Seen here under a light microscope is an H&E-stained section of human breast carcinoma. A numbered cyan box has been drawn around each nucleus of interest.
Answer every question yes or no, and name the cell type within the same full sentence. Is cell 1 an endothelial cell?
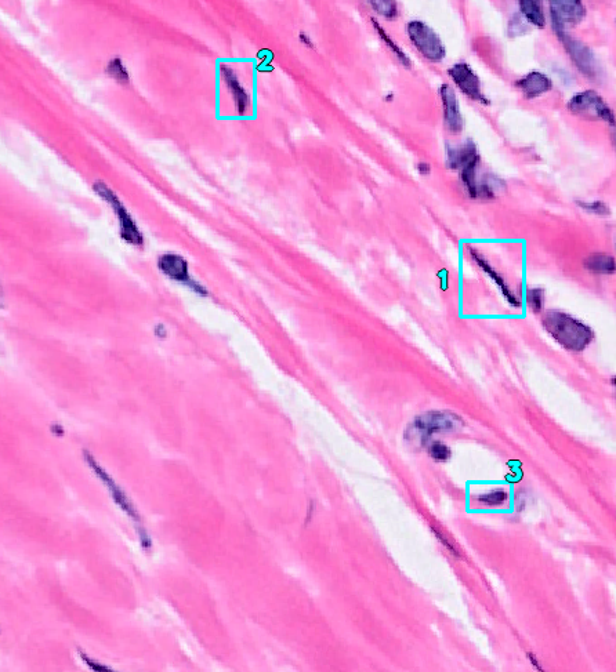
No, calling cell 1 an endothelial cell is incorrect; it is a fibroblast.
